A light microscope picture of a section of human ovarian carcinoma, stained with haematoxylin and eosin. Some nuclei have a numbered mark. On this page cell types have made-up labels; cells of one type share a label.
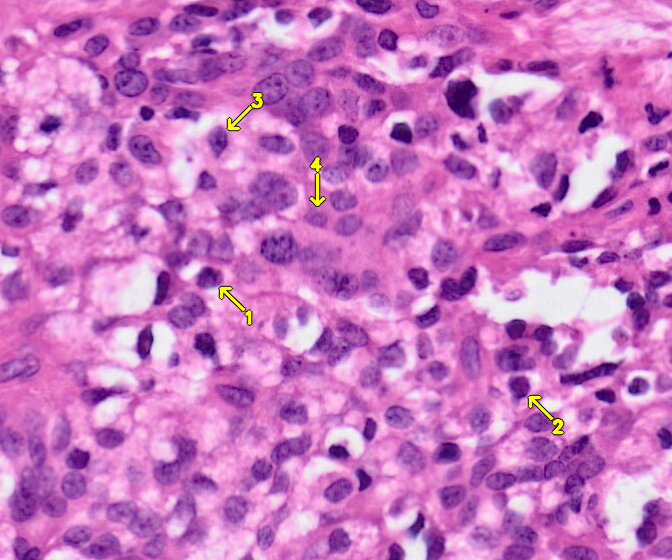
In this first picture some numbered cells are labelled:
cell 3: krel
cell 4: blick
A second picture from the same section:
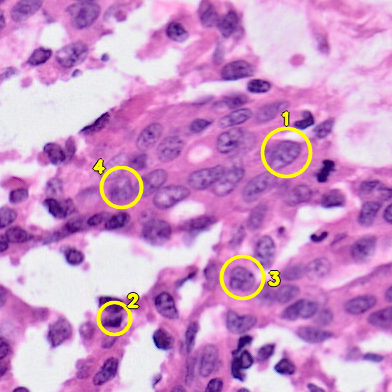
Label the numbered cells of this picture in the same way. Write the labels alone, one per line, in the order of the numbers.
blick
krel
krel
blick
